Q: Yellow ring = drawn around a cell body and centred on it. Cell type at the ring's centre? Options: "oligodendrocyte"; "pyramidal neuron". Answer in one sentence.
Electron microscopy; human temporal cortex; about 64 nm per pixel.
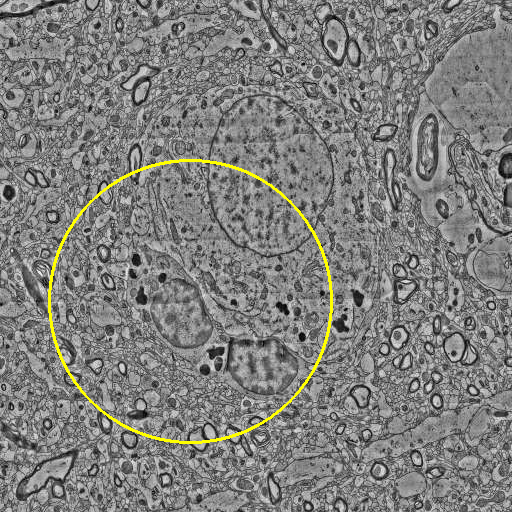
Centred in the ring is an oligodendrocyte.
